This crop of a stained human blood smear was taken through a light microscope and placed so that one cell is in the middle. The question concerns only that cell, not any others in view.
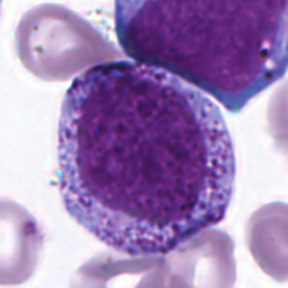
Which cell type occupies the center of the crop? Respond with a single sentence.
The cell nearest the centre of this crop is a promyelocyte.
